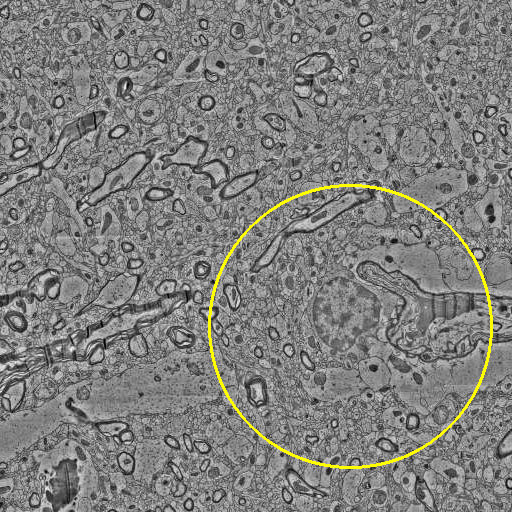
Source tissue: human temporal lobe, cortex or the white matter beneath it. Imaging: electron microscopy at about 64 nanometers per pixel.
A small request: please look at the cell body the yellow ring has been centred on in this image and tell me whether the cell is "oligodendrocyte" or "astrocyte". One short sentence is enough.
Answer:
The cell marked by the ring is an oligodendrocyte.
